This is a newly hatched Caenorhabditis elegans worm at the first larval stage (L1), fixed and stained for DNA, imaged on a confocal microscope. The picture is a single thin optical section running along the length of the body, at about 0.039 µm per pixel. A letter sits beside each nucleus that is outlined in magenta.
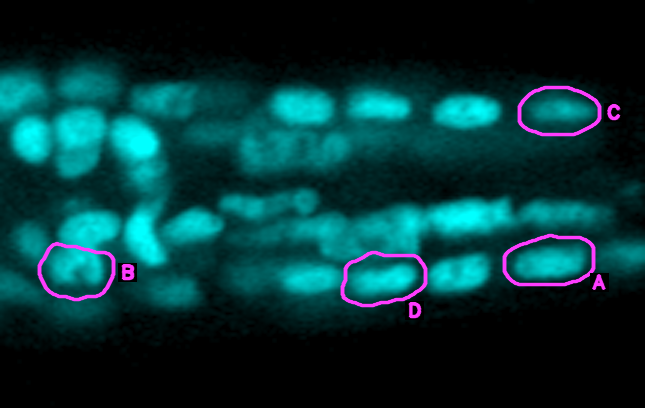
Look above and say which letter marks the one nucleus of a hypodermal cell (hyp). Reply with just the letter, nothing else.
C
